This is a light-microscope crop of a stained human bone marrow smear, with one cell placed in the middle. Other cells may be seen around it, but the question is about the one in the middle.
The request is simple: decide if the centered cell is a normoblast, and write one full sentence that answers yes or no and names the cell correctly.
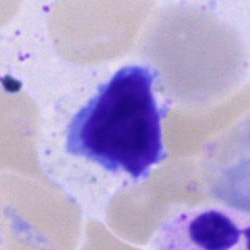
No, it isn't a normoblast; what sits in the middle is a lymphocyte.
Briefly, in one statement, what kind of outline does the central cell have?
Smoothness is lacking at the edge, which is ragged in places or drawn into projections.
